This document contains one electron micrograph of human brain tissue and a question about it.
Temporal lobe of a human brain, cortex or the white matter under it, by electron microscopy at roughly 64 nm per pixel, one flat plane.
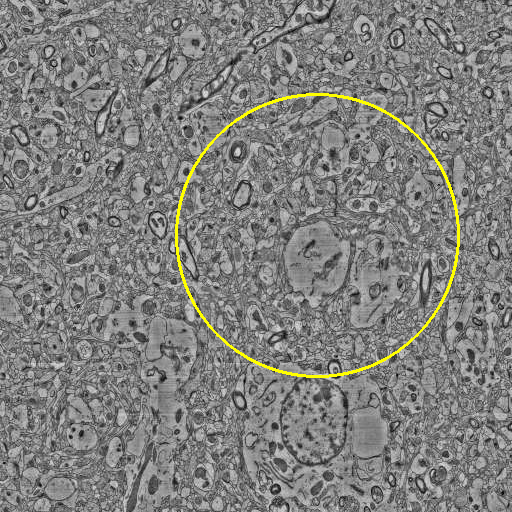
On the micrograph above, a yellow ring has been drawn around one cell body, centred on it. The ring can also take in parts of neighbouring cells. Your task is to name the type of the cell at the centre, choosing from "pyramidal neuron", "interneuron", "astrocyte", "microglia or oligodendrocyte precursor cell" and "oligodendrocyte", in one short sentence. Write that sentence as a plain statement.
Here the ring is centred on an astrocyte.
